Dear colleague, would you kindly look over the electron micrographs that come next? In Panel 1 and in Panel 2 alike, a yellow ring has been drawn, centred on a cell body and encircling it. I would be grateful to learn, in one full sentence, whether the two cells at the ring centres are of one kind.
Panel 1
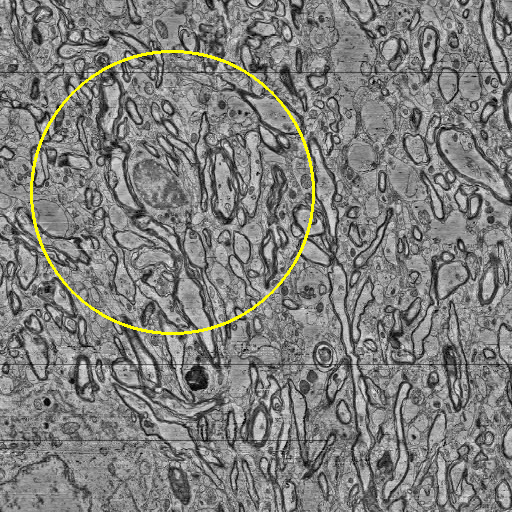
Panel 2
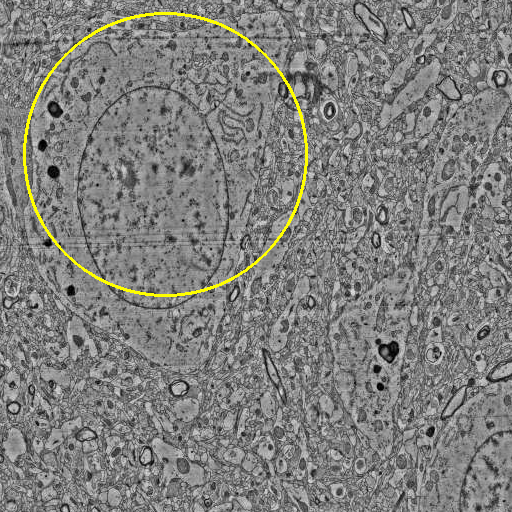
No, the cells in the middle of the rings in the two panels are of two kinds.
